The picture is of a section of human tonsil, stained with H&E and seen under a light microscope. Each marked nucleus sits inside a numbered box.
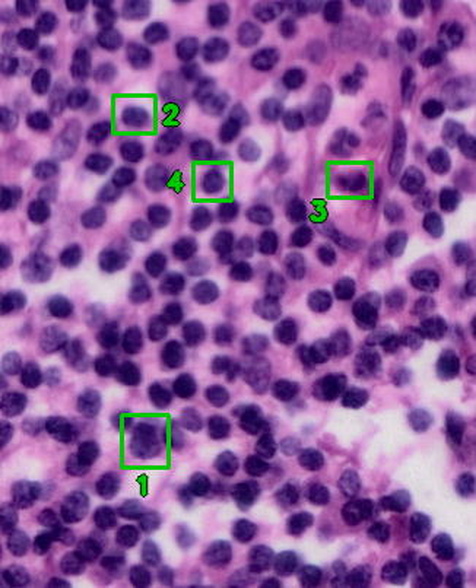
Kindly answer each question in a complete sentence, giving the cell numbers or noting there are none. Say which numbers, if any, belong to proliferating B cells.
The nucleus numbered 1 is the only one that belongs to a proliferating B cell.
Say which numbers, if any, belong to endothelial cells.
Only cell 3 is an endothelial cell; none of the other numbered cells is.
